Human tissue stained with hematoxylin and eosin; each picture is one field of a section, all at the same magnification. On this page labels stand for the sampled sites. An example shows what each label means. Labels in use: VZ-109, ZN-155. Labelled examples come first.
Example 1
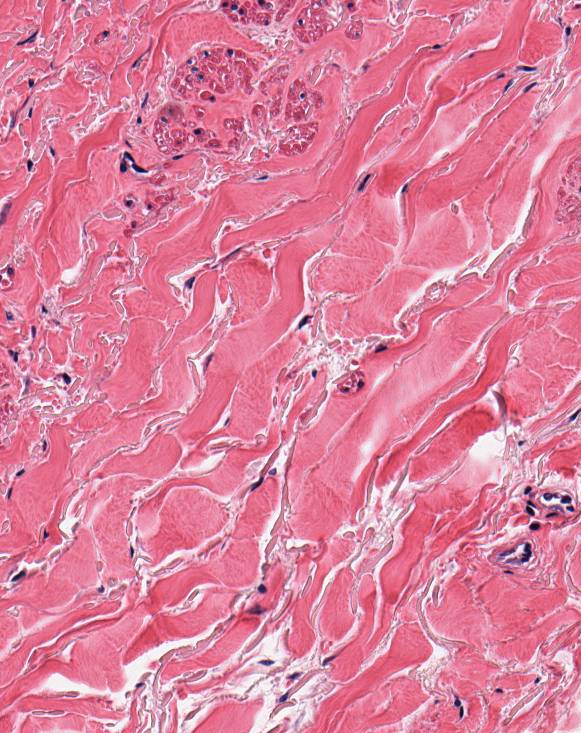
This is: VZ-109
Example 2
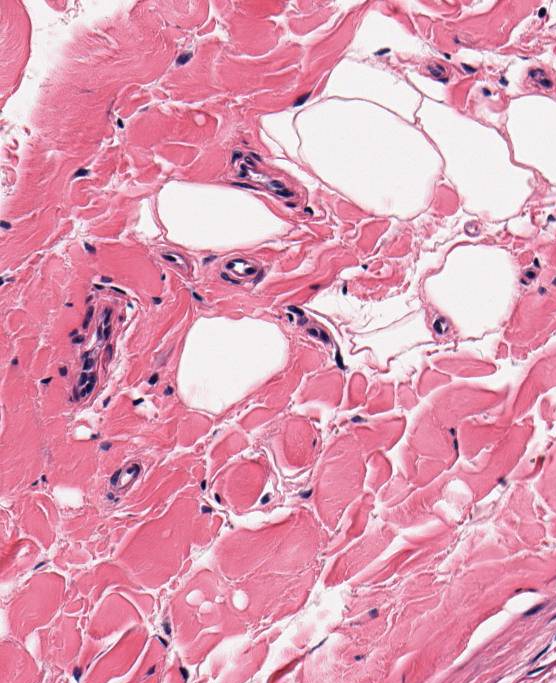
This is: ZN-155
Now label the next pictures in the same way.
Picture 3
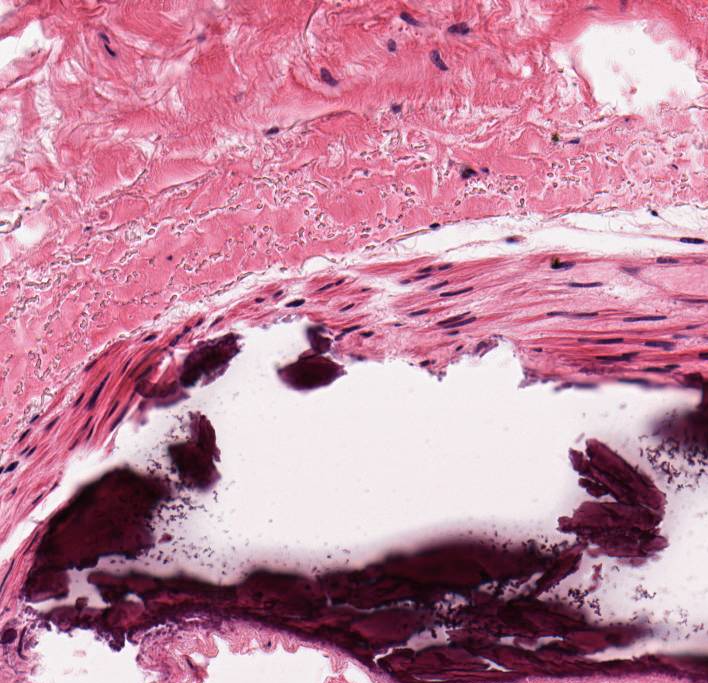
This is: VZ-109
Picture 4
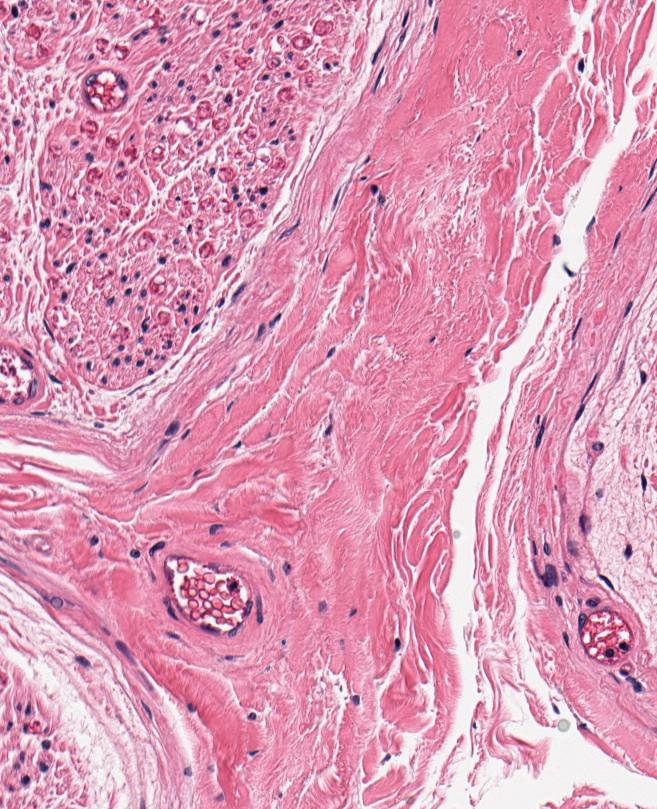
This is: ZN-155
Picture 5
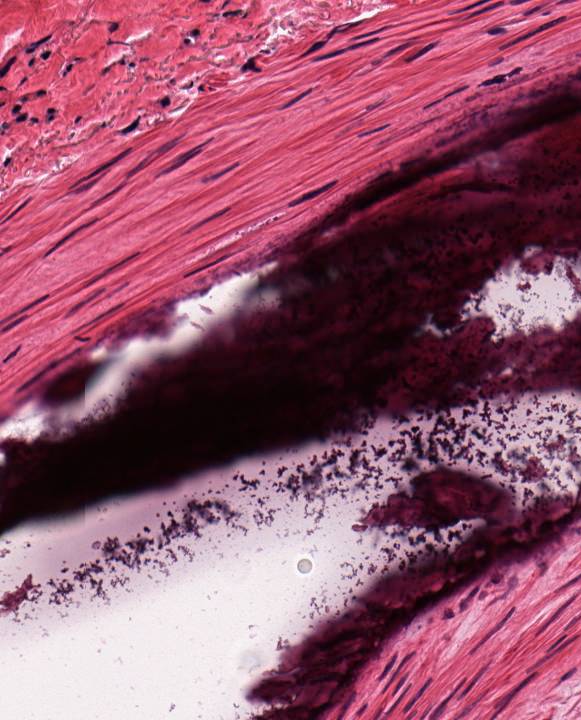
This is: VZ-109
